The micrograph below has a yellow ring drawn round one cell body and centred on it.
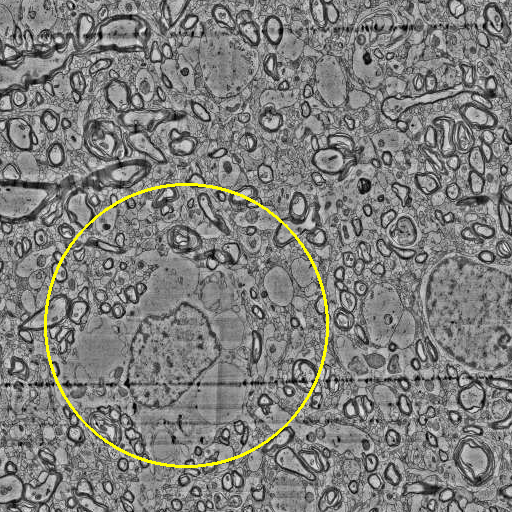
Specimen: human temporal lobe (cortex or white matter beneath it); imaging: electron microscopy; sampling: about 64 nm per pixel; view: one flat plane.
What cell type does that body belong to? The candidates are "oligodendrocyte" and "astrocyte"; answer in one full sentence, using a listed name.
This is an astrocyte, the cell whose body lies at the centre of the ring.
